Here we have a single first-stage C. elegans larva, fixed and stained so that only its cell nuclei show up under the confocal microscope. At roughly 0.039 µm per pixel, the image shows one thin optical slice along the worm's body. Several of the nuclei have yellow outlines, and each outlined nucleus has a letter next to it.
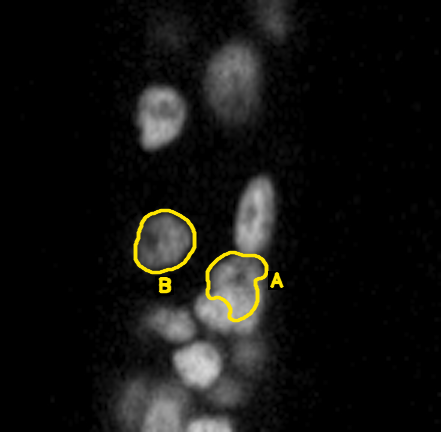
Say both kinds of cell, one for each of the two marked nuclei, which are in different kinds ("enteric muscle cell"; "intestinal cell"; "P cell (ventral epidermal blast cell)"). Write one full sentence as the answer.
B belongs to an intestinal cell, and A to a P cell (ventral epidermal blast cell).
